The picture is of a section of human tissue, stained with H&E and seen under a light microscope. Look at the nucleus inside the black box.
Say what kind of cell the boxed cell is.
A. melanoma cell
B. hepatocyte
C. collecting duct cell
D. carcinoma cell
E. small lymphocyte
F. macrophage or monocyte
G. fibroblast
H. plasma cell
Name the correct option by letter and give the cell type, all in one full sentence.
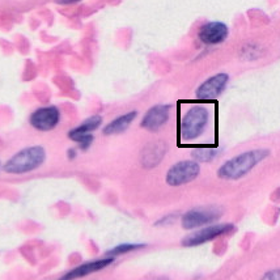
Here the boxed cell is a collecting duct cell; pick option C.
